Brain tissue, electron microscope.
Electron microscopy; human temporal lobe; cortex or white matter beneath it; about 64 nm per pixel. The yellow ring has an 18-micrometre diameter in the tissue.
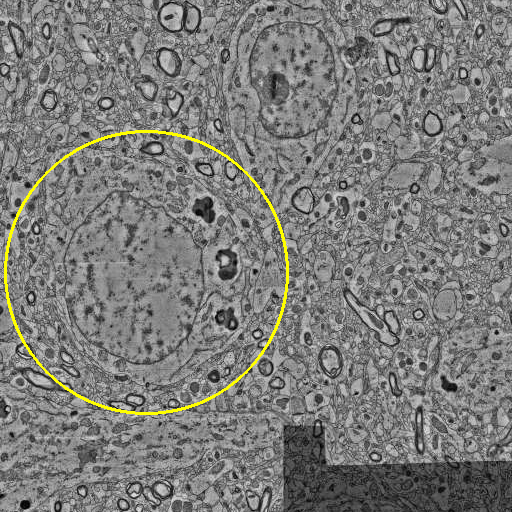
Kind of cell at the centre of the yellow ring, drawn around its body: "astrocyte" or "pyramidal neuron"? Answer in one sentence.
The ring's centre falls on a pyramidal neuron.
